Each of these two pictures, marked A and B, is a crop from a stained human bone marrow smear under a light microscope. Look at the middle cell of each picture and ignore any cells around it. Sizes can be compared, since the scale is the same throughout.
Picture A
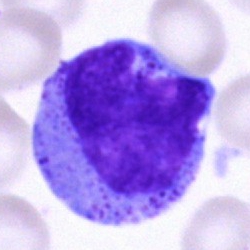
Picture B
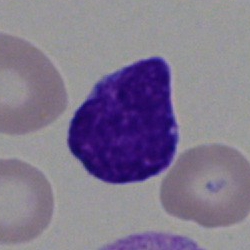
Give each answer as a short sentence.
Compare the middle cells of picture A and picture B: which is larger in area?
The cell in picture A is larger, with about 2 times the area of the one in picture B.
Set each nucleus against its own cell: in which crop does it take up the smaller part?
Of the two, the nucleus in picture A leaves more room for cytoplasm.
